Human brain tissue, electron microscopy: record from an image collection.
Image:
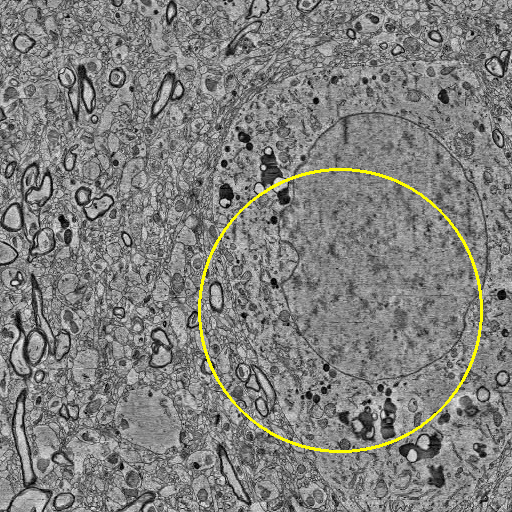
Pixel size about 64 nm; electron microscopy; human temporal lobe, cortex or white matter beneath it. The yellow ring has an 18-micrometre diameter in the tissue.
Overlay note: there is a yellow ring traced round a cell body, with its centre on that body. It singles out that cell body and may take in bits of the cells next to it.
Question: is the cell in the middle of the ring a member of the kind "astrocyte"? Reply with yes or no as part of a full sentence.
No, the image's ringed cell, the one at the ring's centre, is a member of another kind.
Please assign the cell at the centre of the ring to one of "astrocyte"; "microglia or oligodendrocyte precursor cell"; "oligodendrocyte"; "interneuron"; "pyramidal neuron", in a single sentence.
Instead, the cell inside the ring is a pyramidal neuron.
